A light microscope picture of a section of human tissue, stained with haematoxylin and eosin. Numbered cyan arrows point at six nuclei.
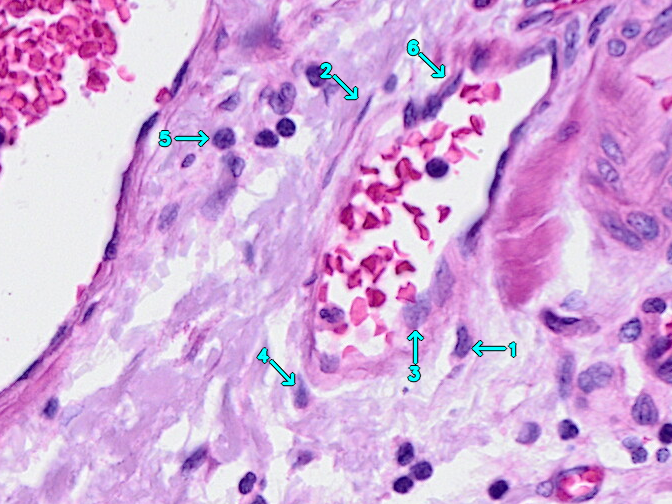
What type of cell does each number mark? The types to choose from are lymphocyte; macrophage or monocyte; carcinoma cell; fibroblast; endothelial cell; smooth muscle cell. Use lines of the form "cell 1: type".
cell 1: macrophage or monocyte
cell 2: fibroblast
cell 3: endothelial cell
cell 4: fibroblast
cell 5: lymphocyte
cell 6: endothelial cell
